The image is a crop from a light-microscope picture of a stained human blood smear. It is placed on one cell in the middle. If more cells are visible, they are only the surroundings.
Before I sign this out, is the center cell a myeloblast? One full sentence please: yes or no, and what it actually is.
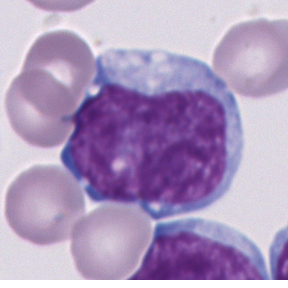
Yes, the cell found at the centre of the crop is a myeloblast.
